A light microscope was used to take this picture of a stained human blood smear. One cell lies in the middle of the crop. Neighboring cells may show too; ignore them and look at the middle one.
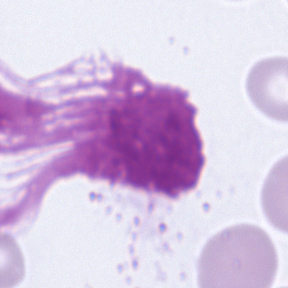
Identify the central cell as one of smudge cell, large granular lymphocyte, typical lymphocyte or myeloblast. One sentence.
The centrally placed cell is classified as a smudge cell.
